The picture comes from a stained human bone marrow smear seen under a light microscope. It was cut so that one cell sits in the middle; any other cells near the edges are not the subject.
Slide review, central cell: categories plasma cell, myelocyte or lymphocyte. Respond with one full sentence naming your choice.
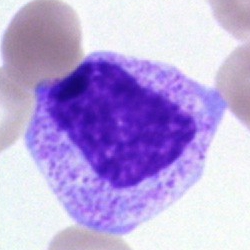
In this crop, the cell at the very middle is a myelocyte.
